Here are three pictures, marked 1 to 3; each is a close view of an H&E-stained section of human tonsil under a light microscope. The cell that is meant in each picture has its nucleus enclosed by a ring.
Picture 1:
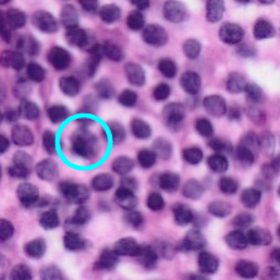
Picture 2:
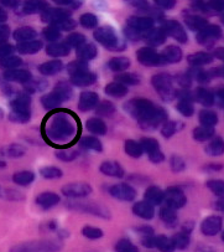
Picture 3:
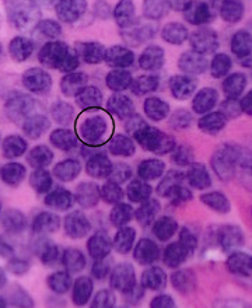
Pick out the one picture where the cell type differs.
2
